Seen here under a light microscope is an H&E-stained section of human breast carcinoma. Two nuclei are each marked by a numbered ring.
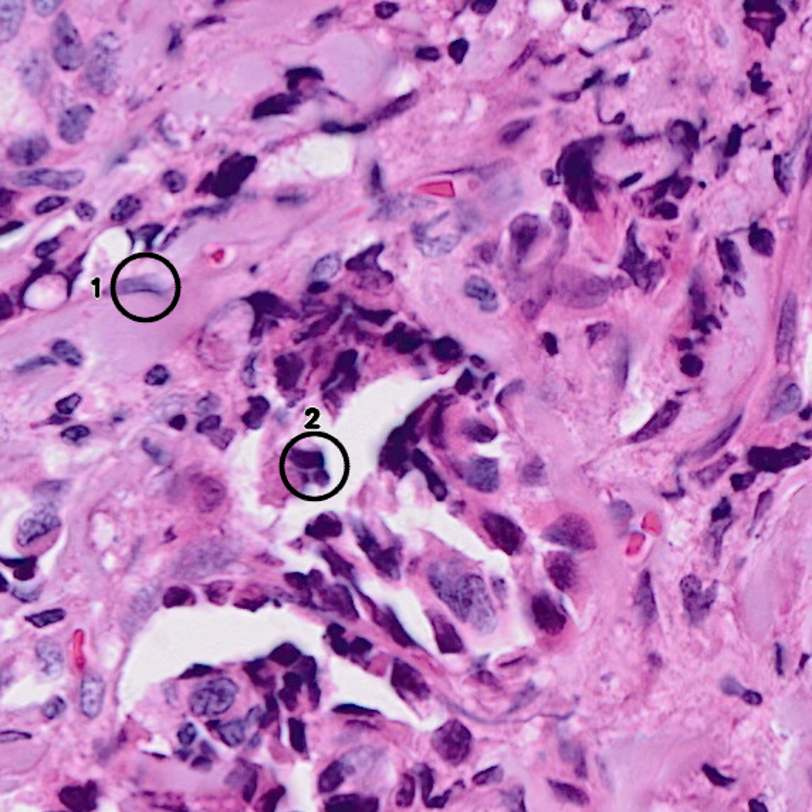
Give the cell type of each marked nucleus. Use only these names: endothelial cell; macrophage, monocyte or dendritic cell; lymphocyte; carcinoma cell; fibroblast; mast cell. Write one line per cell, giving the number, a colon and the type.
1: fibroblast
2: carcinoma cell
